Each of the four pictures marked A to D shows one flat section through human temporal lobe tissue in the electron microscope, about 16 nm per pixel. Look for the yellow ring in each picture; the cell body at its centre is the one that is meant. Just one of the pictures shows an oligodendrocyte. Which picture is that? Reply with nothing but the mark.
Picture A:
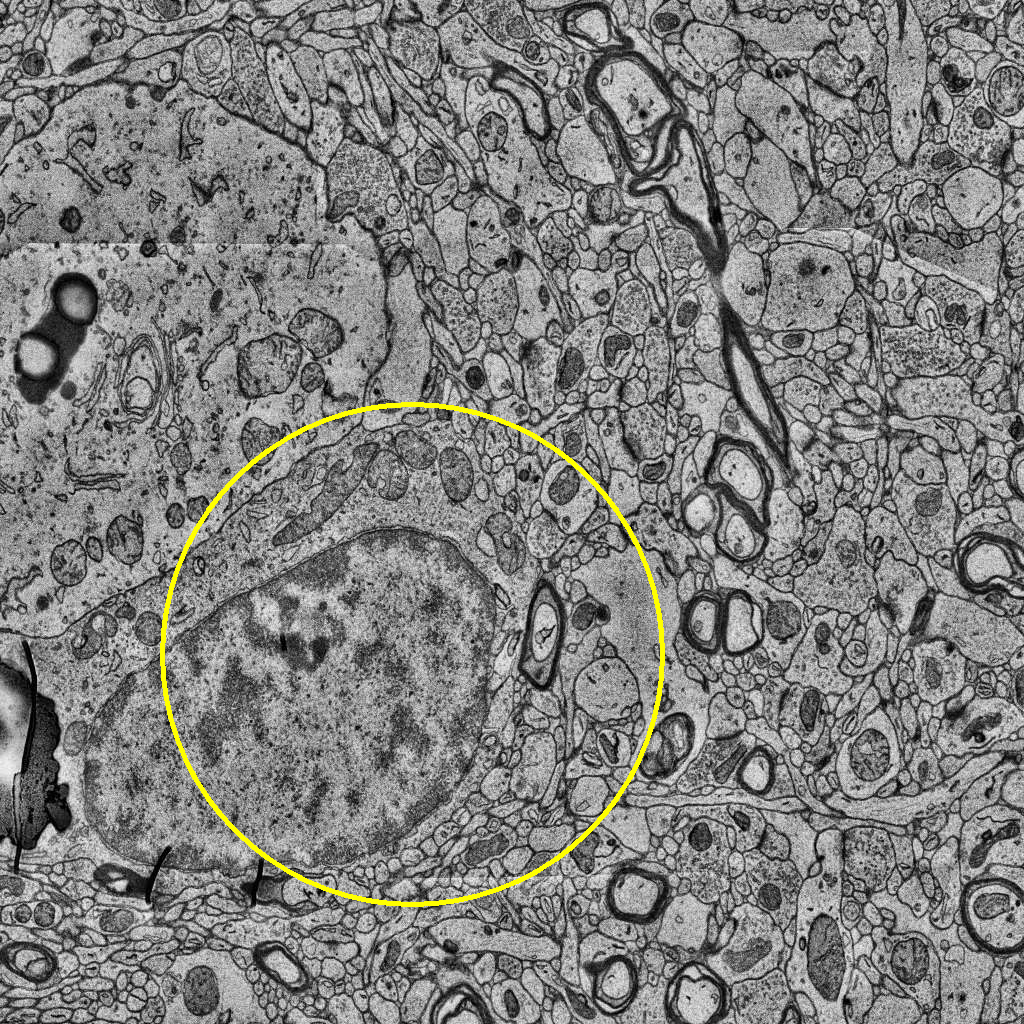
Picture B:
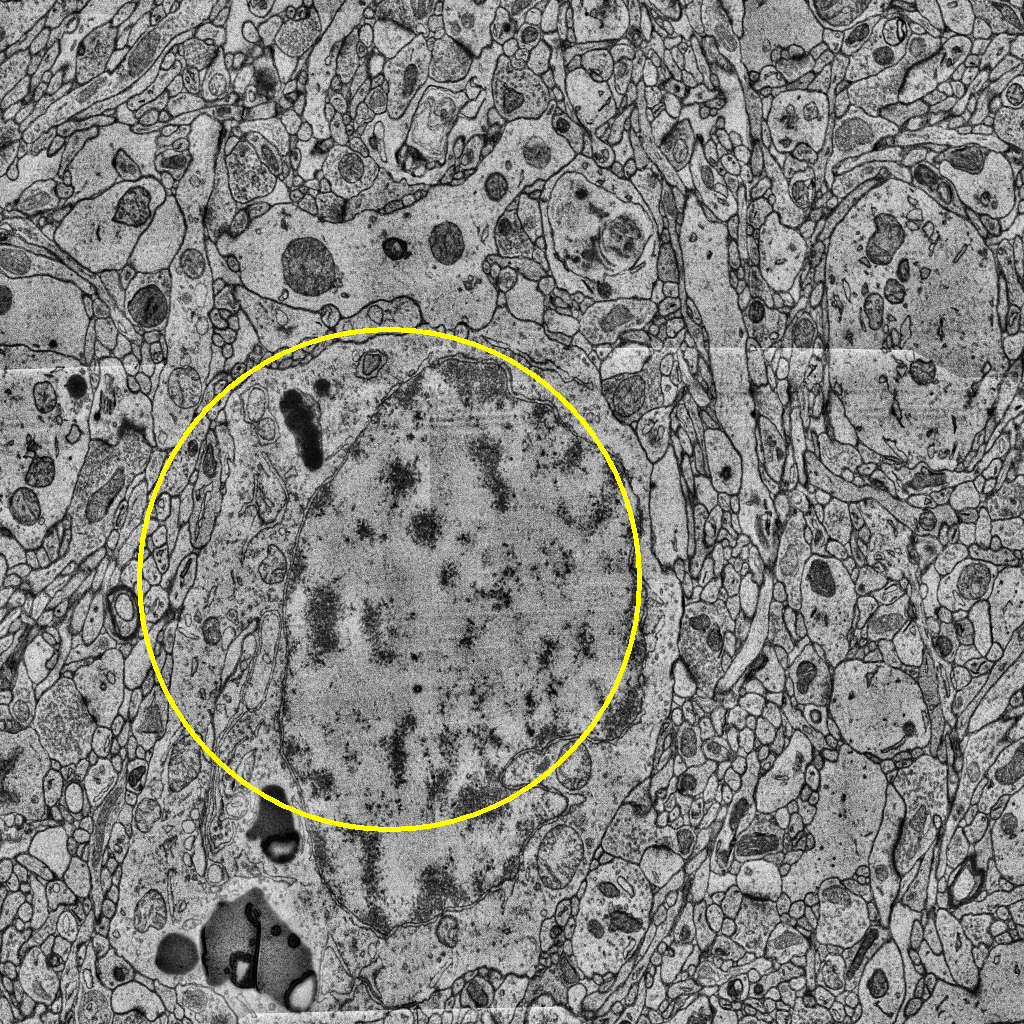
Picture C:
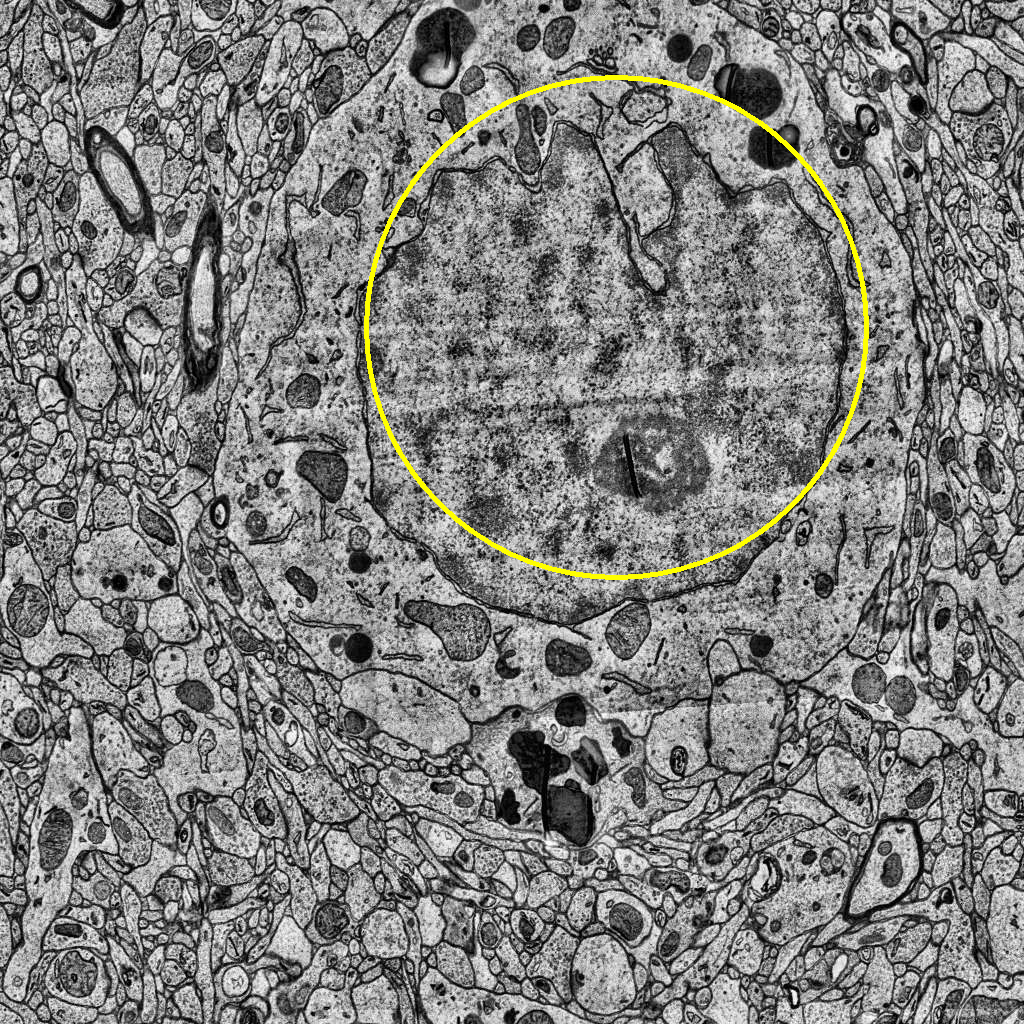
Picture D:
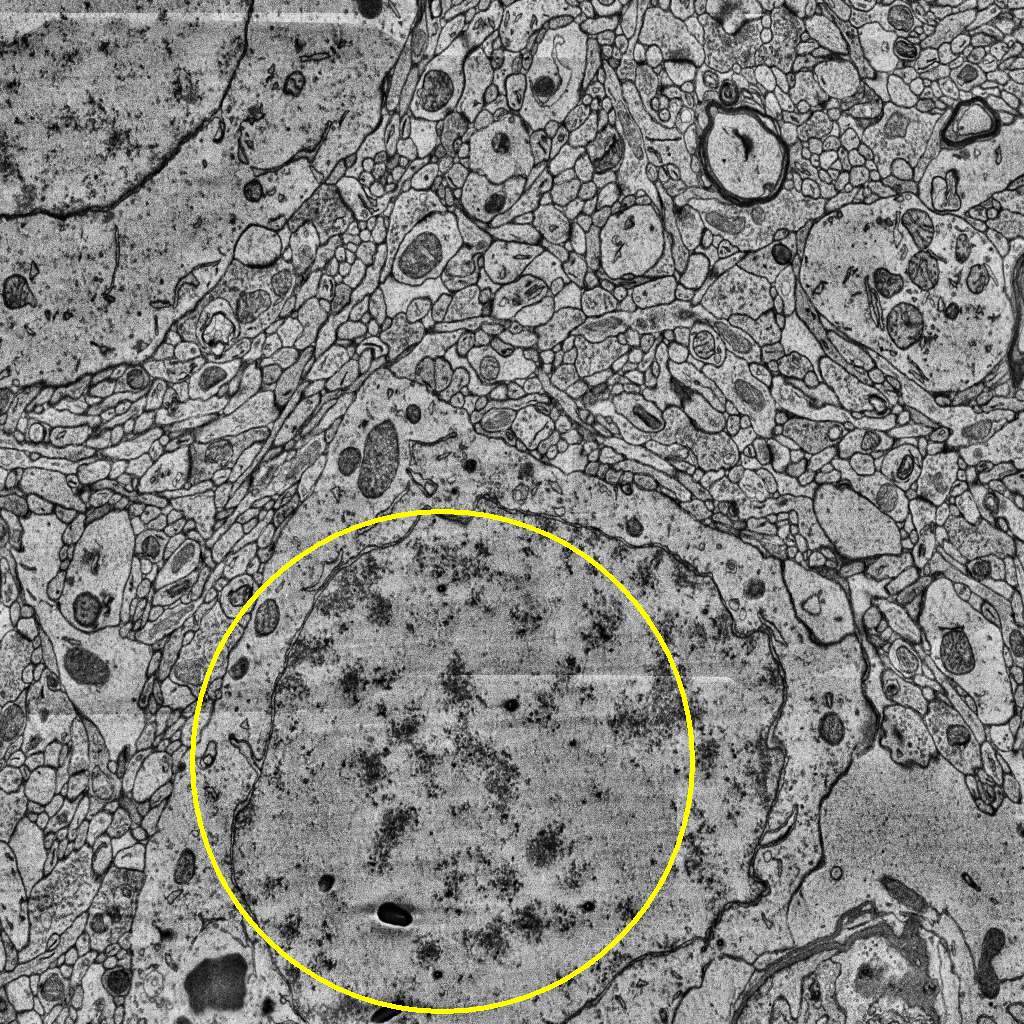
A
